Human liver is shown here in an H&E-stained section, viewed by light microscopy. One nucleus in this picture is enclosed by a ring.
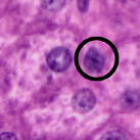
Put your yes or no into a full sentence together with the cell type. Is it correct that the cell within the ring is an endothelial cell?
Yes, an endothelial cell is what the cell within the ring represents in this tissue.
